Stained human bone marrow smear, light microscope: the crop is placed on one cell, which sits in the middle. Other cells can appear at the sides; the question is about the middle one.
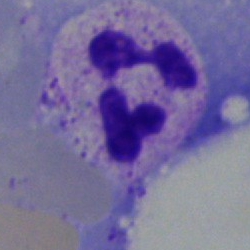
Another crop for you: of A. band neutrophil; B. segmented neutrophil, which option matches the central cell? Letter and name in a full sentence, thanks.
As the central cell is a segmented neutrophil, option B is correct.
